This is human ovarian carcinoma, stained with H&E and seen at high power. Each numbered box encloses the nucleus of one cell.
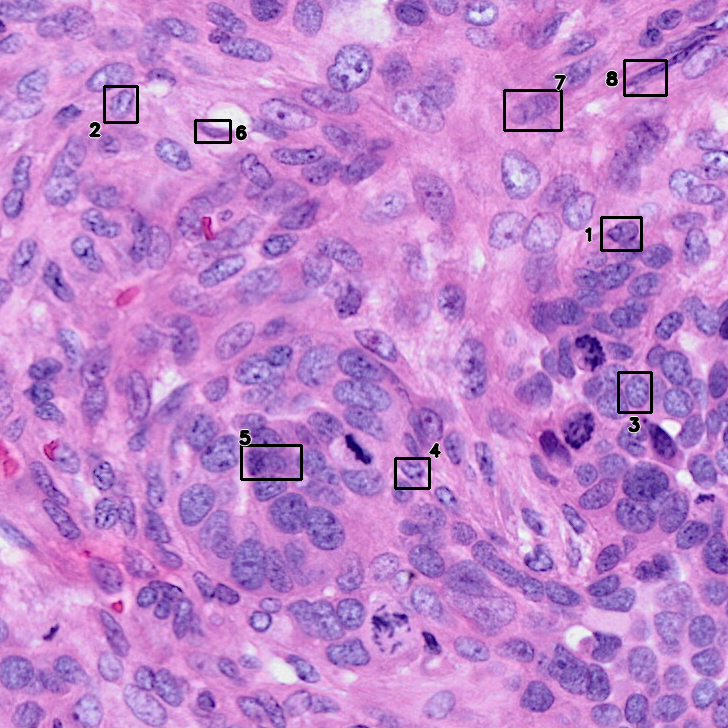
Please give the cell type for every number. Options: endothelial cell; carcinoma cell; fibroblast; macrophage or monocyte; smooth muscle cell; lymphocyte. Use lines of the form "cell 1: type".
cell 1: macrophage or monocyte
cell 2: fibroblast
cell 3: carcinoma cell
cell 4: fibroblast
cell 5: carcinoma cell
cell 6: fibroblast
cell 7: fibroblast
cell 8: fibroblast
